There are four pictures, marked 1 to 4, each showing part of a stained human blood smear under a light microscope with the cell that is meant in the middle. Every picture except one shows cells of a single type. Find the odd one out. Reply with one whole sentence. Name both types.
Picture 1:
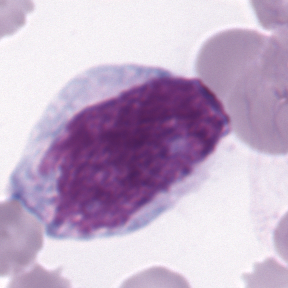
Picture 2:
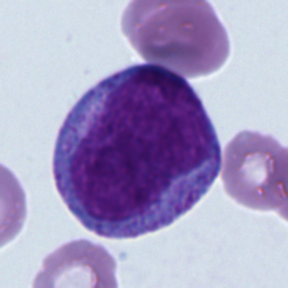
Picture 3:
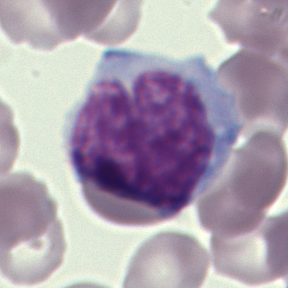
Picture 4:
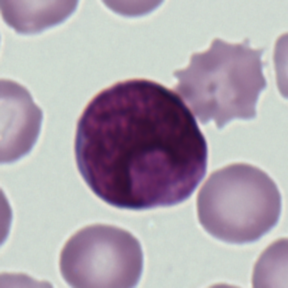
All pictures except 2 show myeloblasts; picture 2 shows a promyelocyte.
